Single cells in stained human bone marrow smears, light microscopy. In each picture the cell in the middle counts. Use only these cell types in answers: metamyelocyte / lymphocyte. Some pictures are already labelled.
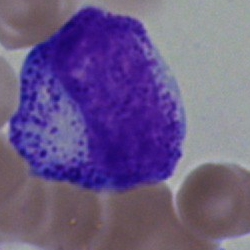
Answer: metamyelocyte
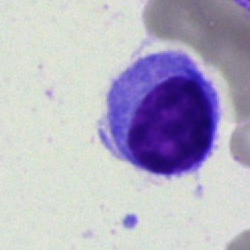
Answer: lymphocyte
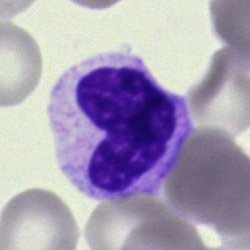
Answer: metamyelocyte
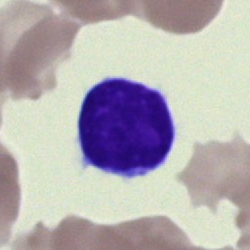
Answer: lymphocyte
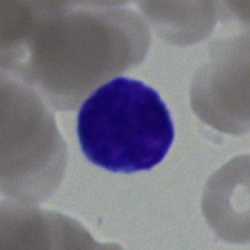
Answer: lymphocyte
